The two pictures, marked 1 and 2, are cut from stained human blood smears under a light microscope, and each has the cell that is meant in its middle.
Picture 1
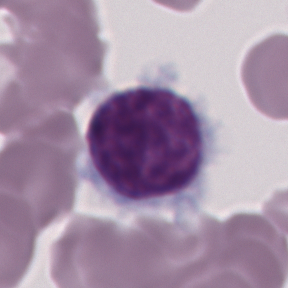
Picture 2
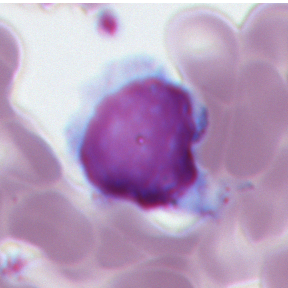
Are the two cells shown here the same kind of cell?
no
